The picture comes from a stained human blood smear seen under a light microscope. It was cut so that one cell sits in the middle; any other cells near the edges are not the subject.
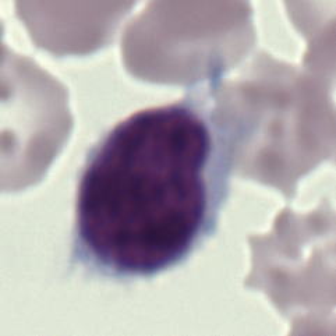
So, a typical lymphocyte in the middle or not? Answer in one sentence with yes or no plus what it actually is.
No, in this crop the middle cell is a hairy cell, not a typical lymphocyte.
